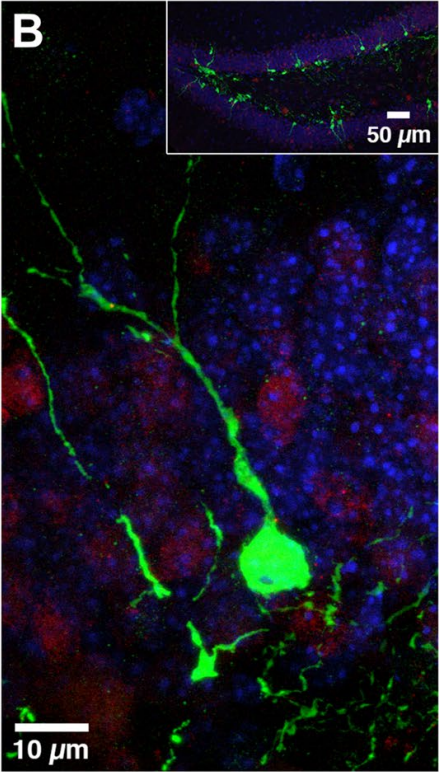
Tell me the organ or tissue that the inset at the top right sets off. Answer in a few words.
dentate gyrus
